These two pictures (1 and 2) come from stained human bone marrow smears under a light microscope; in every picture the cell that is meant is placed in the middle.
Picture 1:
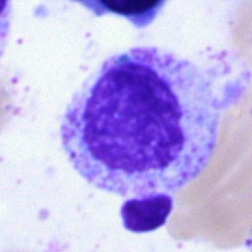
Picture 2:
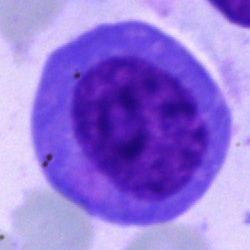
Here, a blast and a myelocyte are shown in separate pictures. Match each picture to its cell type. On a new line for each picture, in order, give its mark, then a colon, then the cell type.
1: myelocyte
2: blast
